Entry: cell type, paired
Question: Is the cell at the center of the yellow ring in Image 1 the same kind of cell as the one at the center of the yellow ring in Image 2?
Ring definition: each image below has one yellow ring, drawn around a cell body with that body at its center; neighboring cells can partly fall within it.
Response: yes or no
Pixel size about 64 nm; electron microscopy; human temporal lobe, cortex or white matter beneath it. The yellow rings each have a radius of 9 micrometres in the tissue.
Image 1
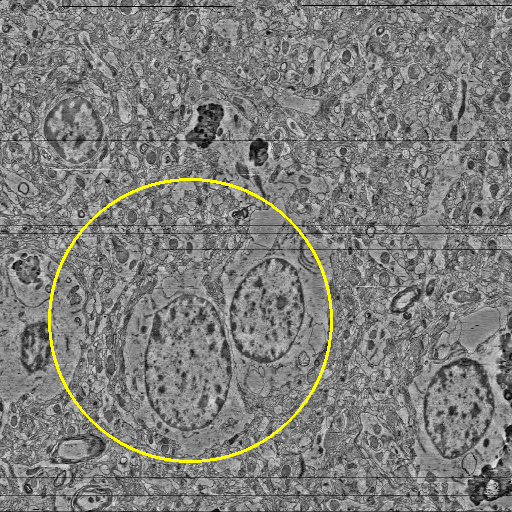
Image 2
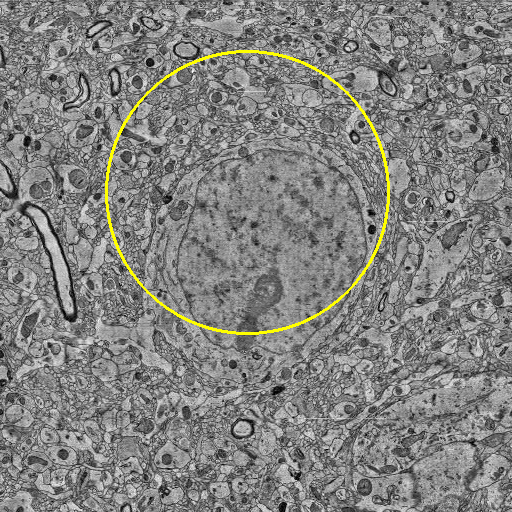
no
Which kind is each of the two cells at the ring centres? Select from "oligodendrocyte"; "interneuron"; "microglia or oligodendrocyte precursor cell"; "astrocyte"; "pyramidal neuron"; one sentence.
The cell at the centre of the ring is an astrocyte in the first picture and an interneuron in the second.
